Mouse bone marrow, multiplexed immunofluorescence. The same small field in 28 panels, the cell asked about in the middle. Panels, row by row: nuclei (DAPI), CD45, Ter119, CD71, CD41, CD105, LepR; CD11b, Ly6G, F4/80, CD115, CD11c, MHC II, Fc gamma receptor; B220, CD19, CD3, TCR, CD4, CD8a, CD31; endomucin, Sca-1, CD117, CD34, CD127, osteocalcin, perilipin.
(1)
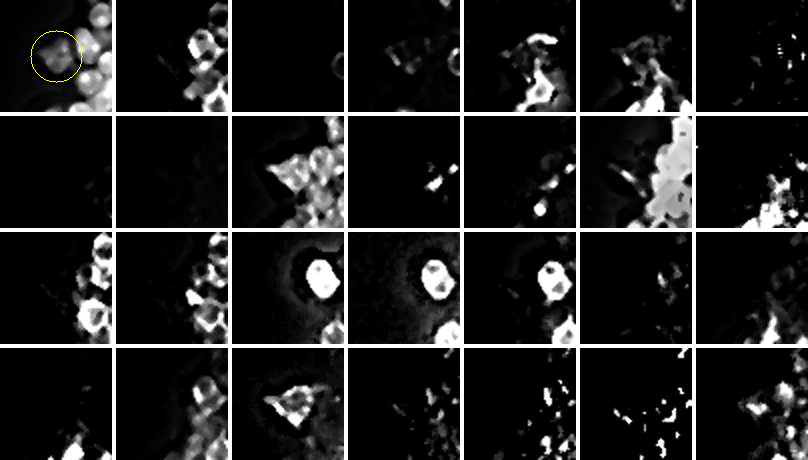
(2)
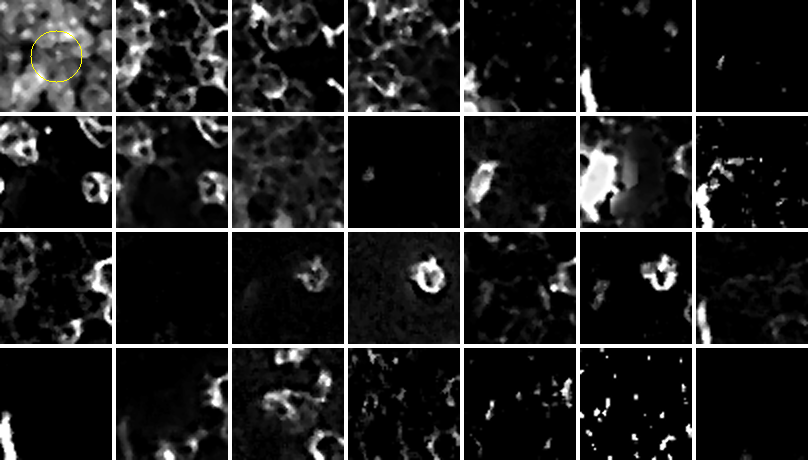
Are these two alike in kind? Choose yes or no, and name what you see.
Yes. Megakaryocyte-erythroid progenitors.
